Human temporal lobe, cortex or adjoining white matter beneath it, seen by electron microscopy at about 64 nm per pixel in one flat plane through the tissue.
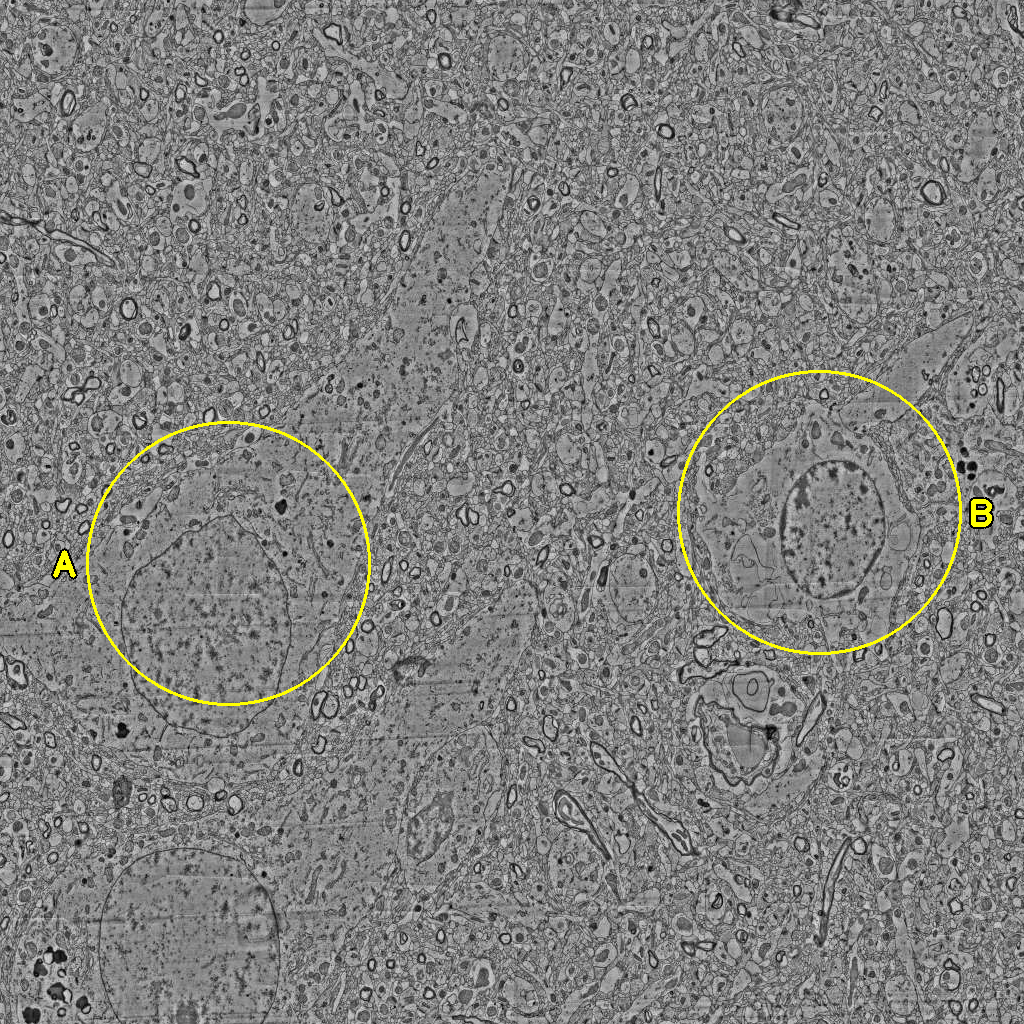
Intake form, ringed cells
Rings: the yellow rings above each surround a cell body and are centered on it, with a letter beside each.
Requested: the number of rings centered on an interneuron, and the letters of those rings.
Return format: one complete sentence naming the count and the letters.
Every lettered ring is centred on something other than an interneuron, so the count is zero.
